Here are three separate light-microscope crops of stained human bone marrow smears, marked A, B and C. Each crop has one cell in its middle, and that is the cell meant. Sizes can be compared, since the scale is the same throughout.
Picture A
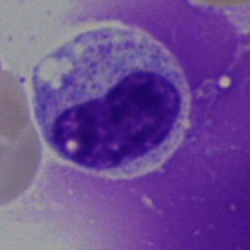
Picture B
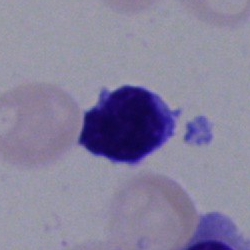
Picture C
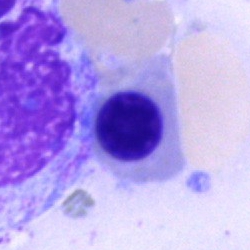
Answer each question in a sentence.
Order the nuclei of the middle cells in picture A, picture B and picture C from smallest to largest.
Smallest first: C, B, A.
